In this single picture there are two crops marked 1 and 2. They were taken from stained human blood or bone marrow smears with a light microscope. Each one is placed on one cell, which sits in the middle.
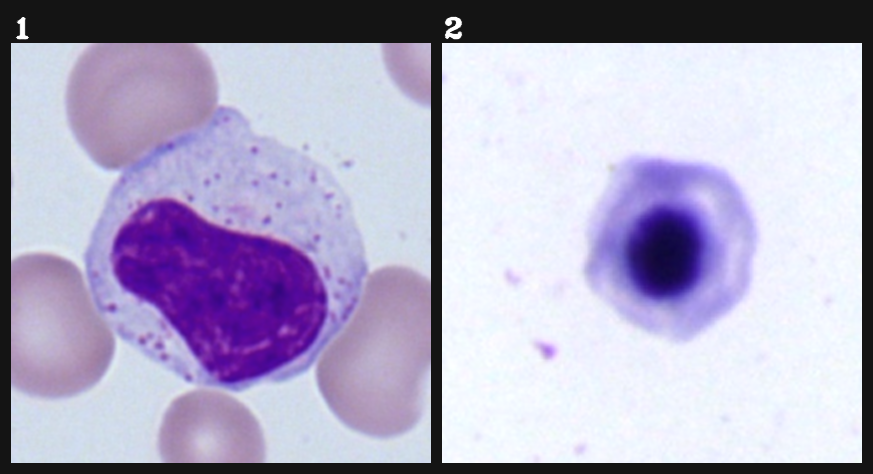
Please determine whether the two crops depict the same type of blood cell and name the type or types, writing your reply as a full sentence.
No, mark crop 1 as a lymphocyte and crop 2 as an erythroblast.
